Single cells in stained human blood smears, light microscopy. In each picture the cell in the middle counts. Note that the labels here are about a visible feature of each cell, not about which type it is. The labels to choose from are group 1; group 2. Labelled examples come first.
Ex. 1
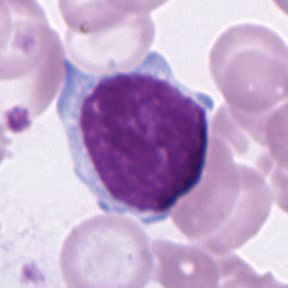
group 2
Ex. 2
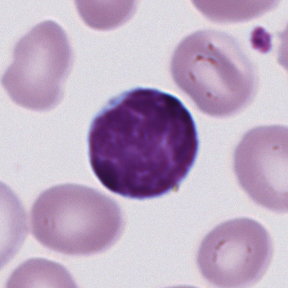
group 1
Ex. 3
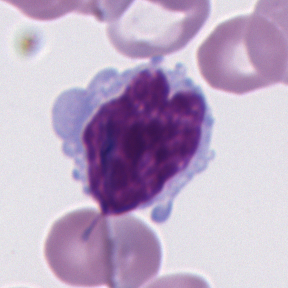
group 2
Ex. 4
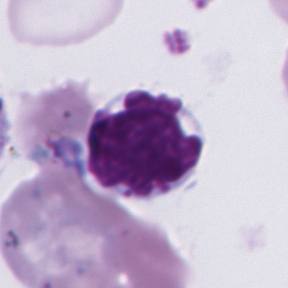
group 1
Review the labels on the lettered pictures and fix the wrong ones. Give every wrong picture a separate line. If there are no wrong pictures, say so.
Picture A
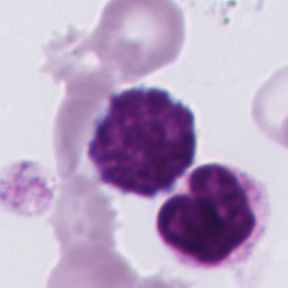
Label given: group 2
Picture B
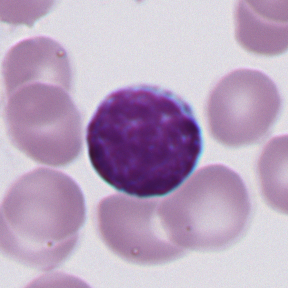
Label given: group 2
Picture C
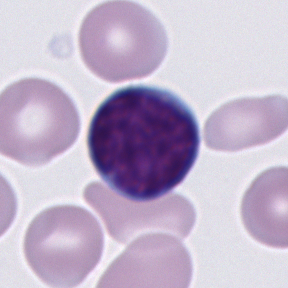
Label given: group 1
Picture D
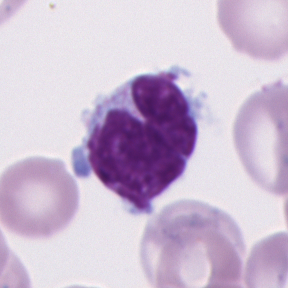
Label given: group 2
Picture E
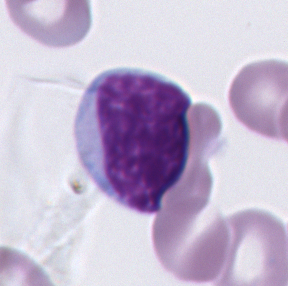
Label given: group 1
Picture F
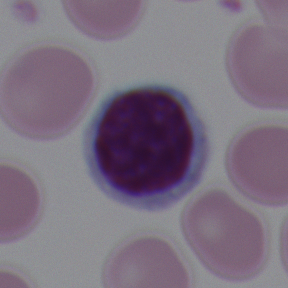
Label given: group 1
B should be group 1, not group 2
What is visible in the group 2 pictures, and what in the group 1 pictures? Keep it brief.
In group 2: ragged outline or projections. In group 1: smooth outline.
